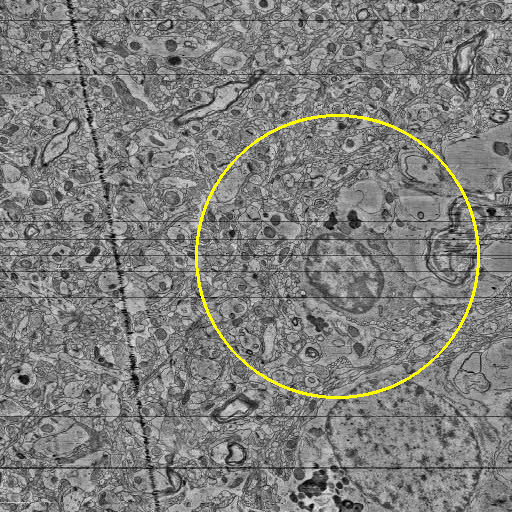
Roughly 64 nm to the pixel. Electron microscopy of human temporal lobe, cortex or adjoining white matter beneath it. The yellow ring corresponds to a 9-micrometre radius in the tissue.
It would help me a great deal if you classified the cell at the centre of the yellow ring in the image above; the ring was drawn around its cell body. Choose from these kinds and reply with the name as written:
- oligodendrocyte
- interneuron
oligodendrocyte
